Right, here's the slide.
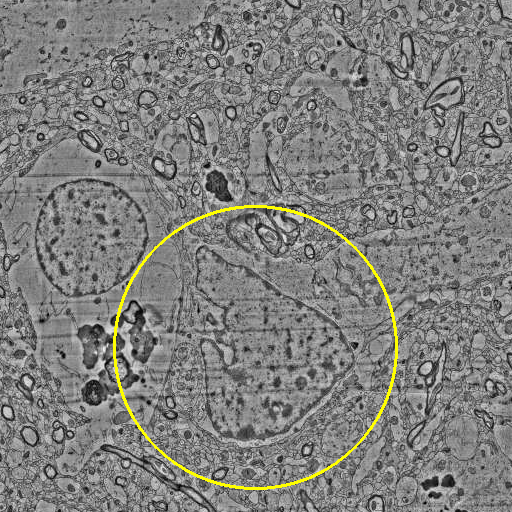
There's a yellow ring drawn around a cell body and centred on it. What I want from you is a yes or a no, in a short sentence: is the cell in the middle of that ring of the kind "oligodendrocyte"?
No, it's of some other kind.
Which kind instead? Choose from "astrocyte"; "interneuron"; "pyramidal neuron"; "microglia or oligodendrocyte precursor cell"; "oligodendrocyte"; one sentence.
As it turns out, the cell at the ring centre is a microglial cell or oligodendrocyte precursor cell.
